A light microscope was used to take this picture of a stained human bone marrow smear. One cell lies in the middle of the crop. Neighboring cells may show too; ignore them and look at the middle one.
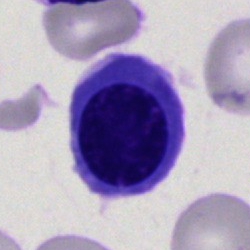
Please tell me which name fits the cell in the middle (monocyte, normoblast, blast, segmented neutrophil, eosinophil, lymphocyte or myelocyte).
normoblast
